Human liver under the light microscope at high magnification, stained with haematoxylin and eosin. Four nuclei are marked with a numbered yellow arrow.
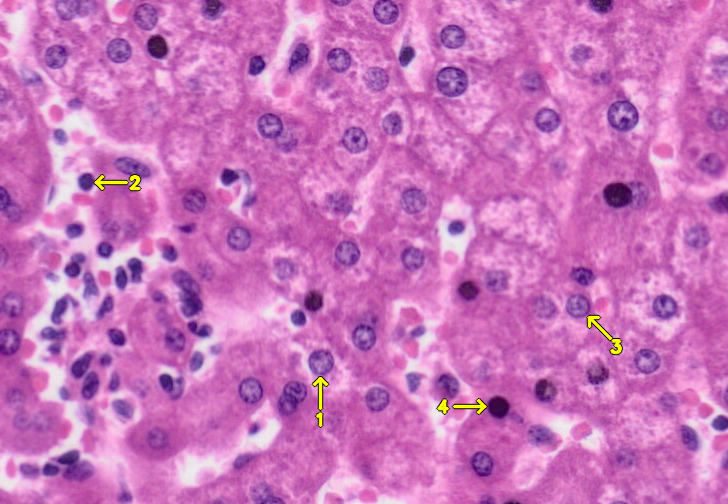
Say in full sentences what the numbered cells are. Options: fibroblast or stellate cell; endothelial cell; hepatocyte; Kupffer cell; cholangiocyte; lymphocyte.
Cells 1, 3 and 4 are hepatocytes. Cell 2 is a lymphocyte.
